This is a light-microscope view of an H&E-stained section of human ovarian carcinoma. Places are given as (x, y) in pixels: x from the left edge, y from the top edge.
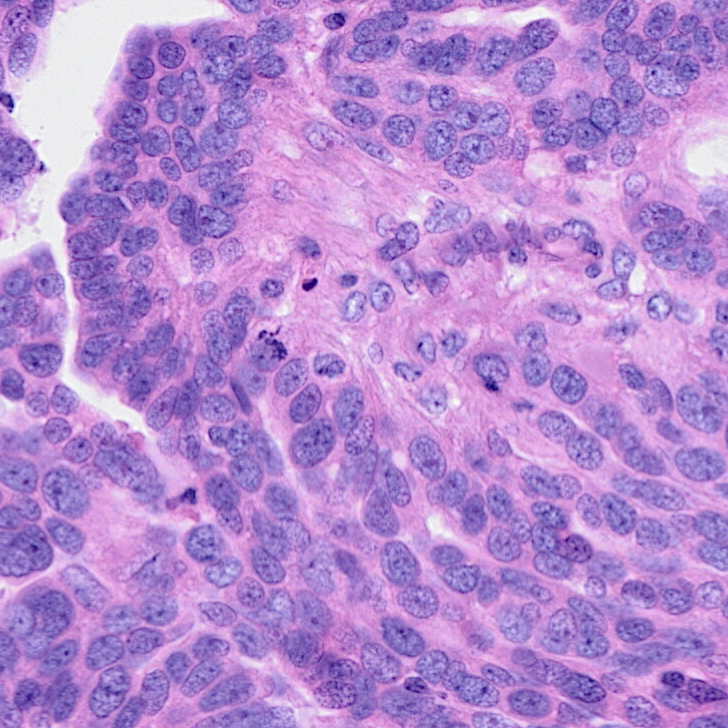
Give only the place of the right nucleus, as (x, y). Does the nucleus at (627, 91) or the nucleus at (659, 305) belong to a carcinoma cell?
(627, 91)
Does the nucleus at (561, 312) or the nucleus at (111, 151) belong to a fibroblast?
(561, 312)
